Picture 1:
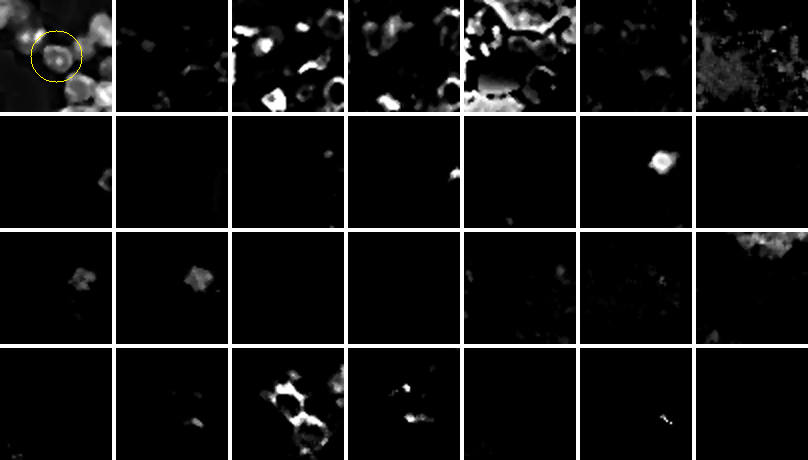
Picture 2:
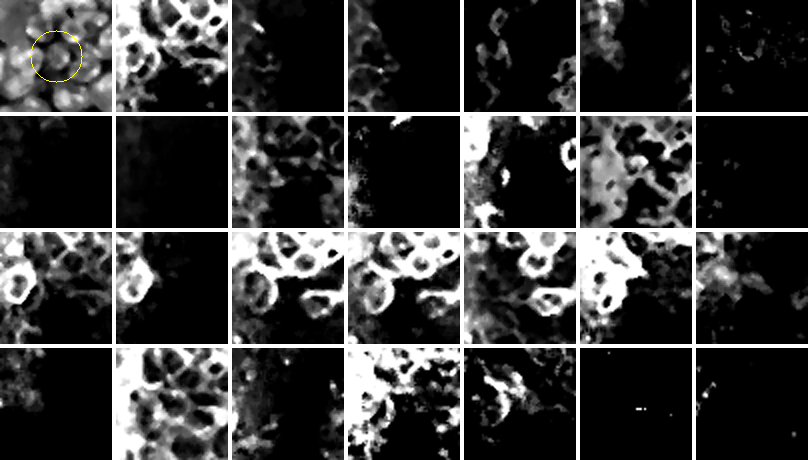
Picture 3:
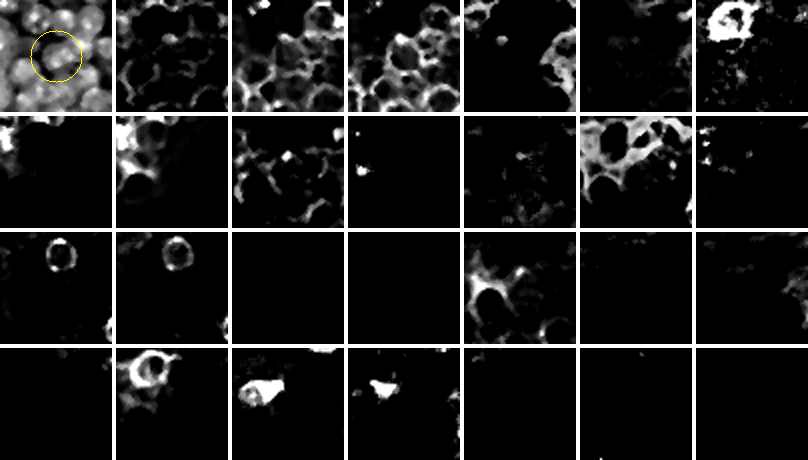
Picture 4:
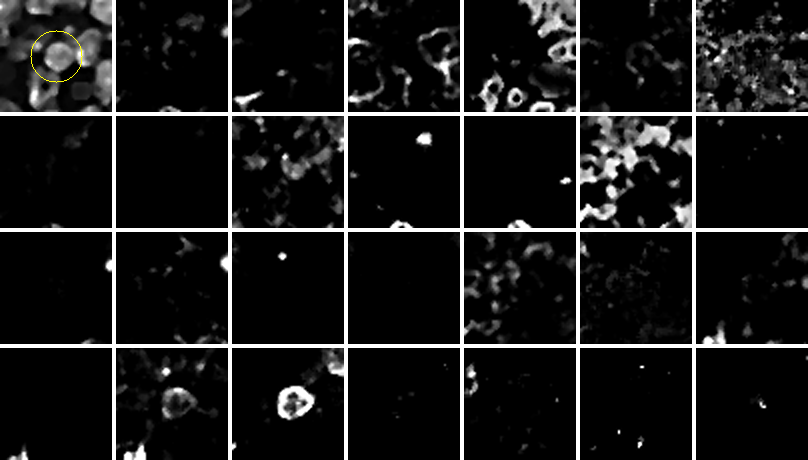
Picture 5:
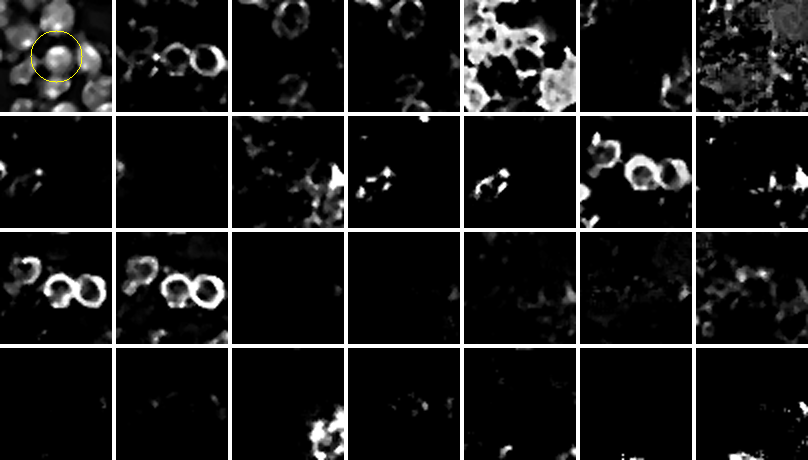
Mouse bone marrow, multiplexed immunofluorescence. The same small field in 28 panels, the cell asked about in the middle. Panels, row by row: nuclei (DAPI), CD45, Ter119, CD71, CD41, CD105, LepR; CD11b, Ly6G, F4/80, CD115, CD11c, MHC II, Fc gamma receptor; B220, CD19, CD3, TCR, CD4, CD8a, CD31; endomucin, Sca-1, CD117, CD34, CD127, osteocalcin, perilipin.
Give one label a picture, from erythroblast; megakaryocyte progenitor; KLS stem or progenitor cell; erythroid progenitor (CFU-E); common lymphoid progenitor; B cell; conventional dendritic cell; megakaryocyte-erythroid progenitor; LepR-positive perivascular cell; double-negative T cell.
1. megakaryocyte-erythroid progenitor
2. common lymphoid progenitor
3. erythroblast
4. KLS stem or progenitor cell
5. B cell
